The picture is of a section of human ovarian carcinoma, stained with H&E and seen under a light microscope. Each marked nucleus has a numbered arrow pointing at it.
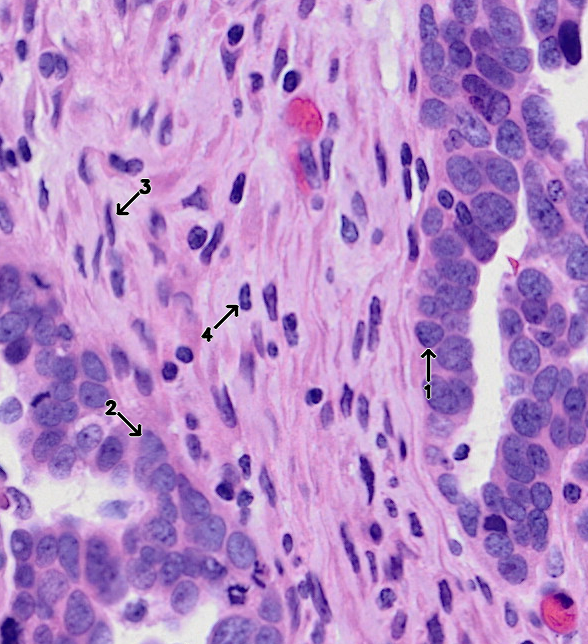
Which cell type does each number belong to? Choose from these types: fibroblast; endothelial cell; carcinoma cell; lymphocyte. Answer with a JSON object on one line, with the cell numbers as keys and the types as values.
{"1": "carcinoma cell", "2": "carcinoma cell", "3": "fibroblast", "4": "lymphocyte"}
